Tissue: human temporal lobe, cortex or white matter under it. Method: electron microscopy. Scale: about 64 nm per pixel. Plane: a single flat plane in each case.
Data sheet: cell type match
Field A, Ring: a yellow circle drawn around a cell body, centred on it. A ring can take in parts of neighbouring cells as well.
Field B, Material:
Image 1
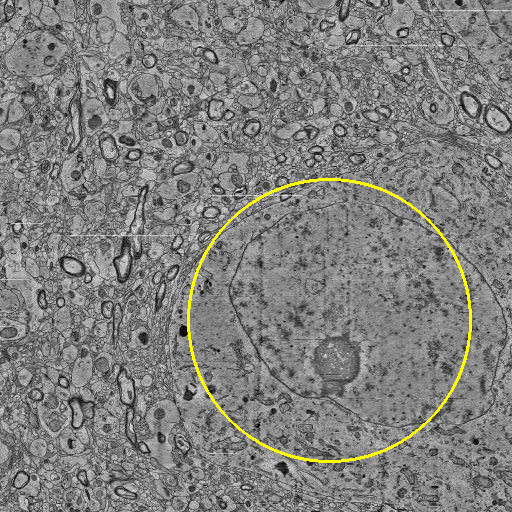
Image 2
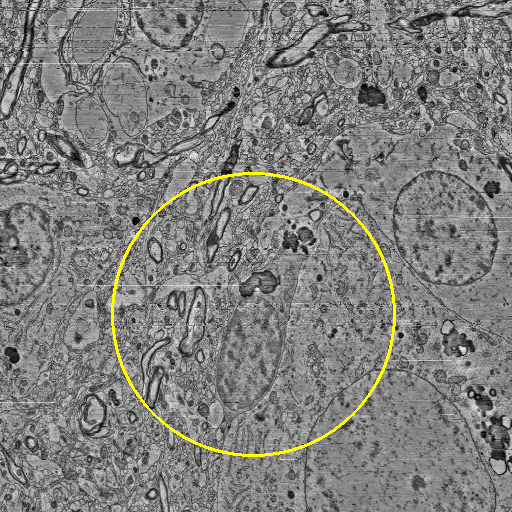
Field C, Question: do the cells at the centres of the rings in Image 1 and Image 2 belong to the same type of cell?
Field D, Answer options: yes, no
no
